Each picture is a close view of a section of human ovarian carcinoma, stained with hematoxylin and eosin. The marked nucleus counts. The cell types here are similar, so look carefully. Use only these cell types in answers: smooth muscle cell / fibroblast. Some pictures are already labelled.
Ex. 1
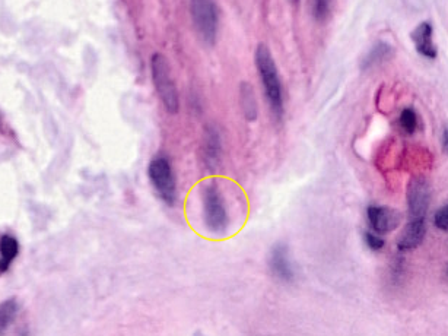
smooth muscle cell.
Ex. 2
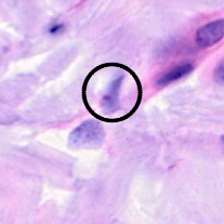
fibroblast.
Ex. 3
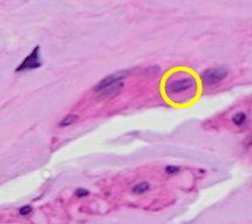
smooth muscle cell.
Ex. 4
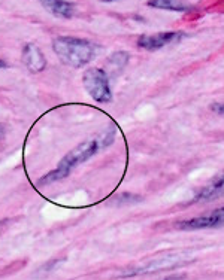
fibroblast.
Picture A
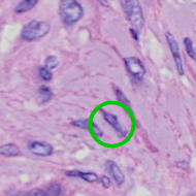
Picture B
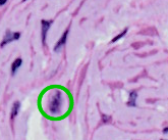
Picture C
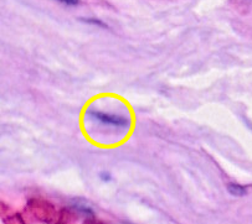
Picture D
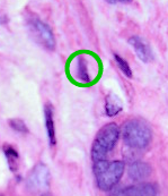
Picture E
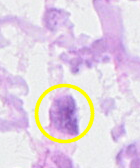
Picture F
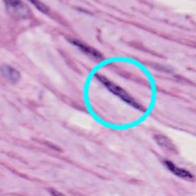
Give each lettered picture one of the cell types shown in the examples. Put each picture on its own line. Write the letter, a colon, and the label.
A: fibroblast.
B: fibroblast.
C: fibroblast.
D: fibroblast.
E: fibroblast.
F: fibroblast.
